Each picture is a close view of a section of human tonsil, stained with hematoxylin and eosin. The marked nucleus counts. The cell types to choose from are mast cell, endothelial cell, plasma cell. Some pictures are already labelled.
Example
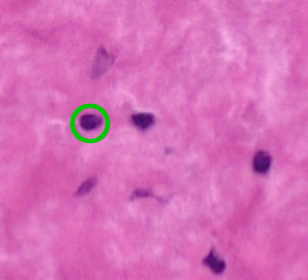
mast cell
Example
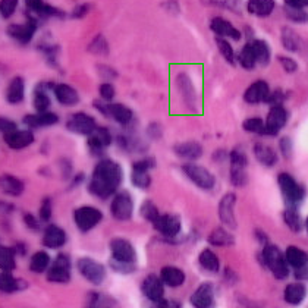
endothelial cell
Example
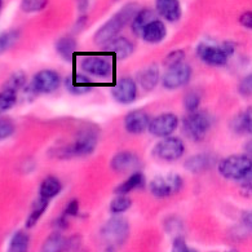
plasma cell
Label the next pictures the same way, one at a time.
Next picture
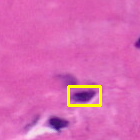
mast cell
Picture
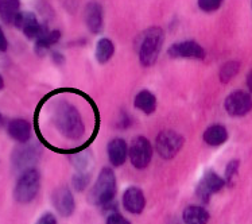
endothelial cell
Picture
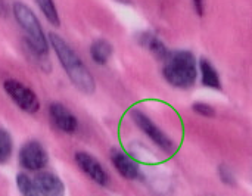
endothelial cell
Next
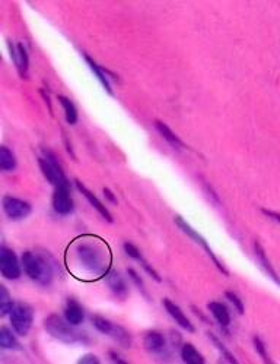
endothelial cell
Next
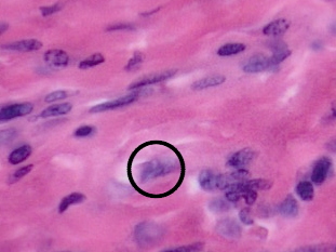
endothelial cell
